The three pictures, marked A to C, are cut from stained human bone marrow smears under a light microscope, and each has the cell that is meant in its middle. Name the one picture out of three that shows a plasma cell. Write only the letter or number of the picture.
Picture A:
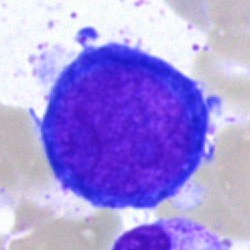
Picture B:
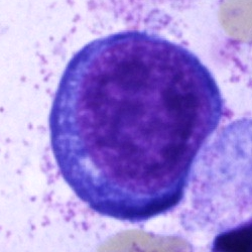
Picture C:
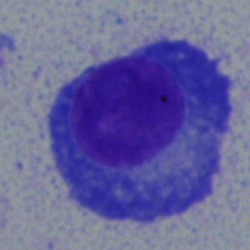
C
